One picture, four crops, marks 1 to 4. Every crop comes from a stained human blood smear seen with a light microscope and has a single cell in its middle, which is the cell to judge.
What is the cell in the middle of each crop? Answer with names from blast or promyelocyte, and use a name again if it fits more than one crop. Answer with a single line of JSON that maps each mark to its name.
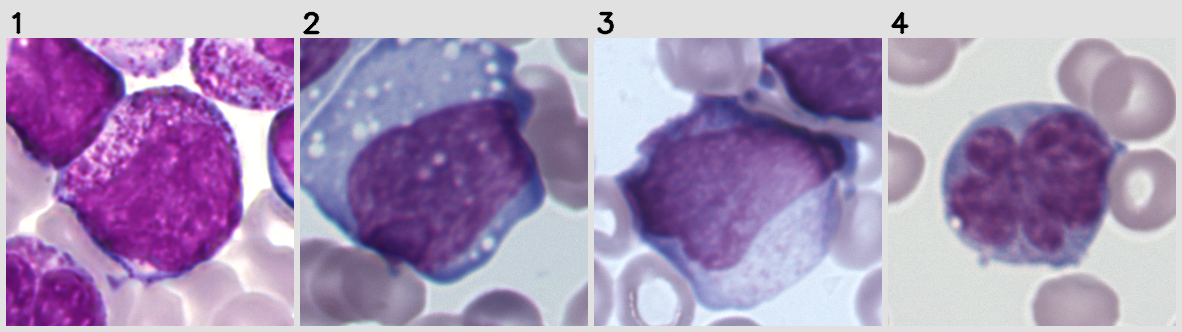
{"1": "promyelocyte", "2": "blast", "3": "promyelocyte", "4": "blast"}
